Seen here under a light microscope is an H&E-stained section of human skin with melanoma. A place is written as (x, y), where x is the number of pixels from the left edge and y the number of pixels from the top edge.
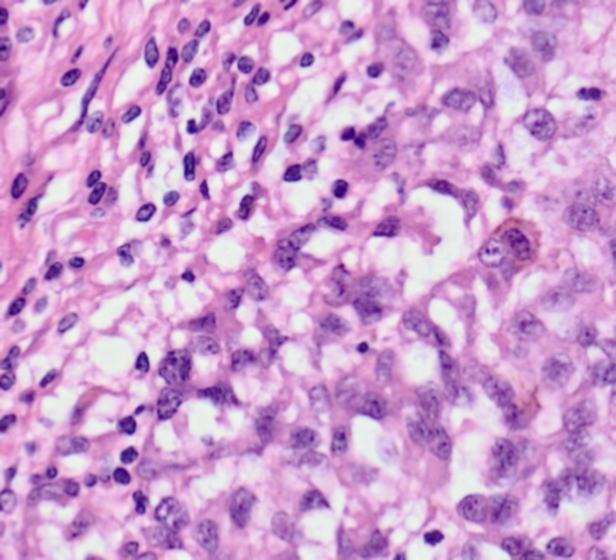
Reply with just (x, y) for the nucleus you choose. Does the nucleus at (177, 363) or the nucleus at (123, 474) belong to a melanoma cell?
(177, 363)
